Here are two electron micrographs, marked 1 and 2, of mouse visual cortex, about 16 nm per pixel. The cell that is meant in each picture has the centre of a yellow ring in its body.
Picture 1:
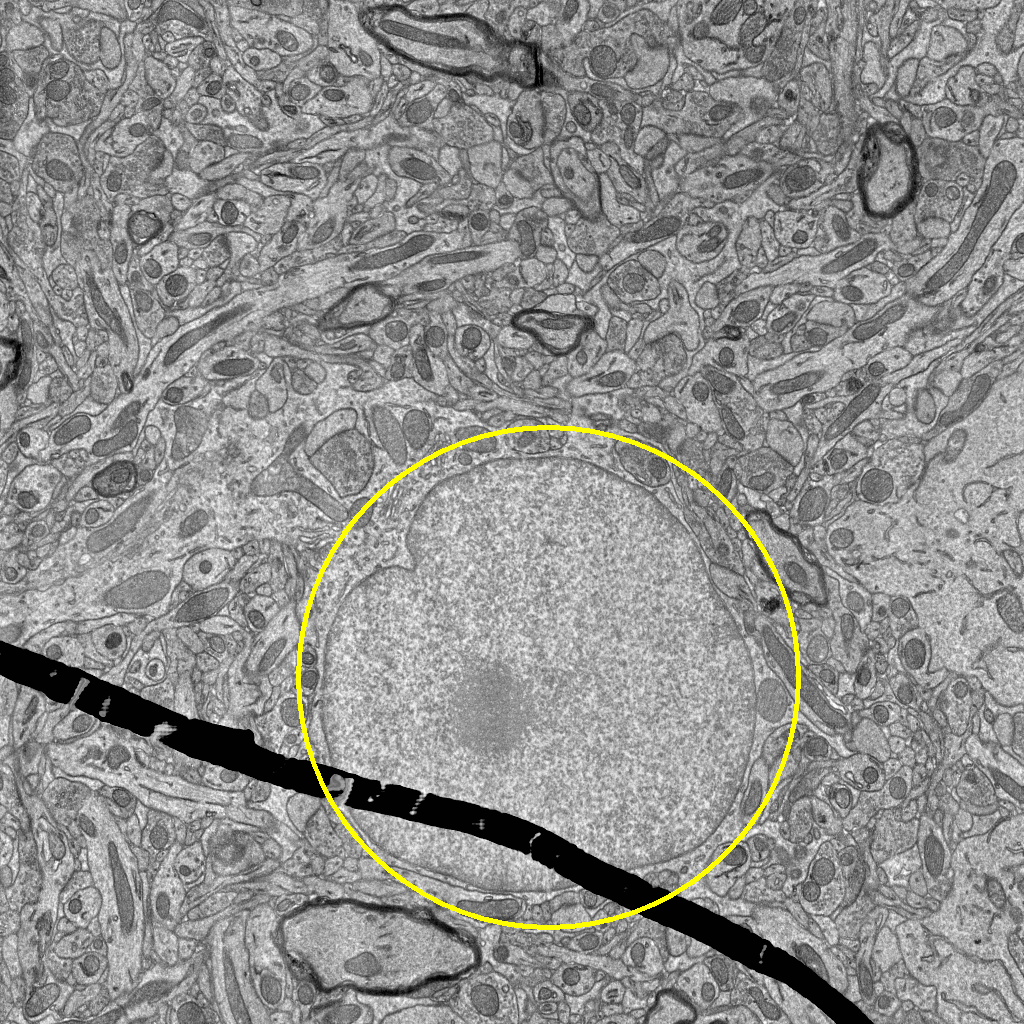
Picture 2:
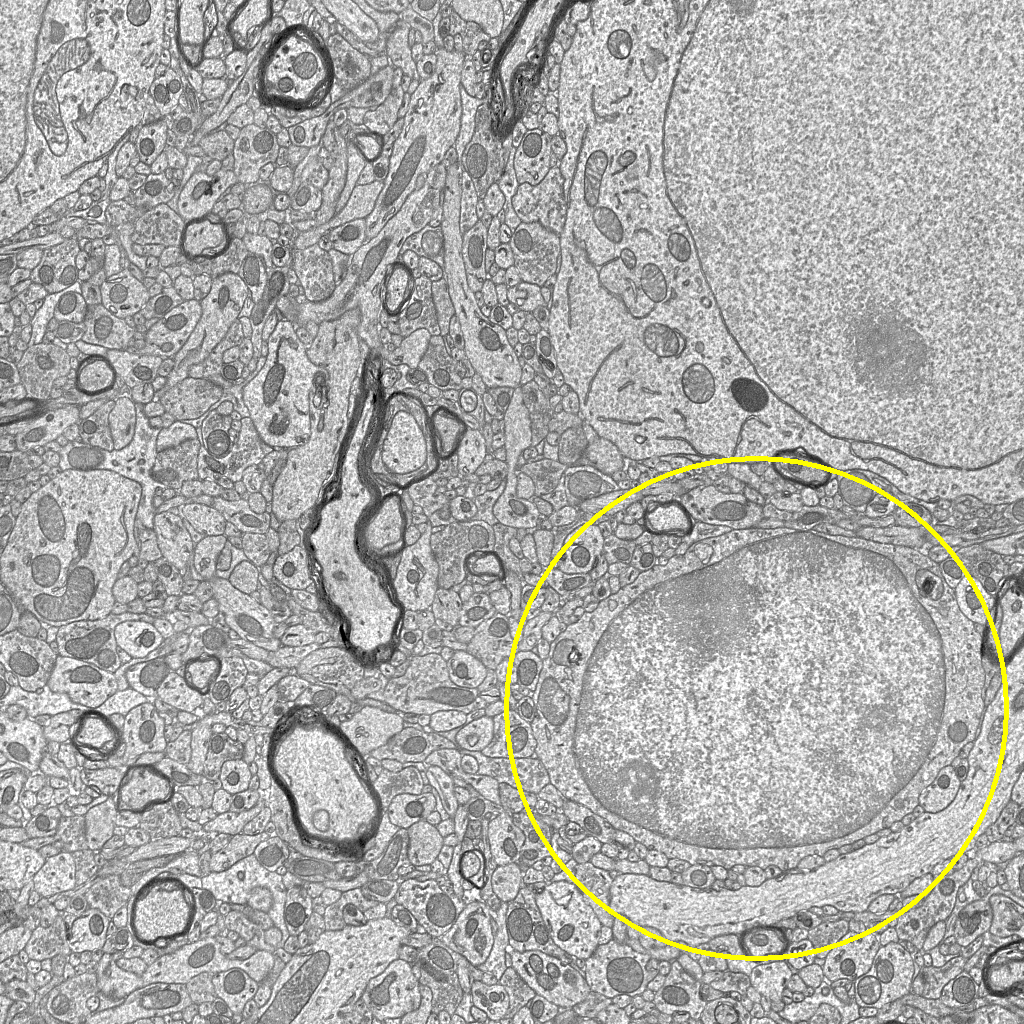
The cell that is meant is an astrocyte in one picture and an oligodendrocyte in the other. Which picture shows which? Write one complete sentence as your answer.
Picture 2 shows an oligodendrocyte, while picture 1 shows an astrocyte.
